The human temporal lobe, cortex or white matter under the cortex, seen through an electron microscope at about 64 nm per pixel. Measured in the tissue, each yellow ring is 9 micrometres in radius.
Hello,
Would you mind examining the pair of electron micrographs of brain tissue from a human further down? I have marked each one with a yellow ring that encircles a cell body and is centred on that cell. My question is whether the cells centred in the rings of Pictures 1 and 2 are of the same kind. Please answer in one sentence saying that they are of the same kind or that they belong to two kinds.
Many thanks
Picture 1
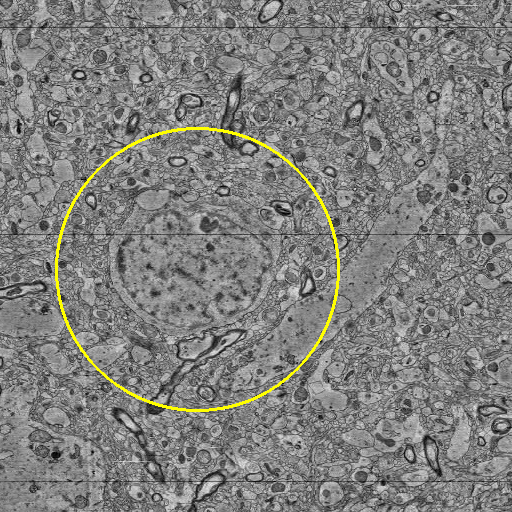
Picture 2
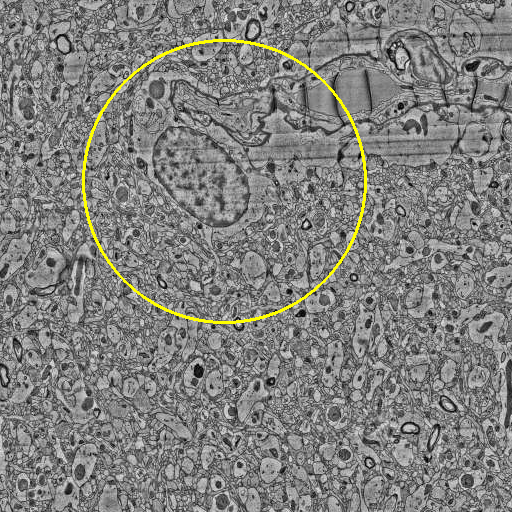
In Pictures 1 and 2, the cells at the heart of the rings belong to two kinds.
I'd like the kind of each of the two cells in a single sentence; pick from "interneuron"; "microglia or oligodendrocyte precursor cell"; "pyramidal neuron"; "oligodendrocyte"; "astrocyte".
The first ring marks an interneuron, and the second ring marks a microglial cell or oligodendrocyte precursor cell.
